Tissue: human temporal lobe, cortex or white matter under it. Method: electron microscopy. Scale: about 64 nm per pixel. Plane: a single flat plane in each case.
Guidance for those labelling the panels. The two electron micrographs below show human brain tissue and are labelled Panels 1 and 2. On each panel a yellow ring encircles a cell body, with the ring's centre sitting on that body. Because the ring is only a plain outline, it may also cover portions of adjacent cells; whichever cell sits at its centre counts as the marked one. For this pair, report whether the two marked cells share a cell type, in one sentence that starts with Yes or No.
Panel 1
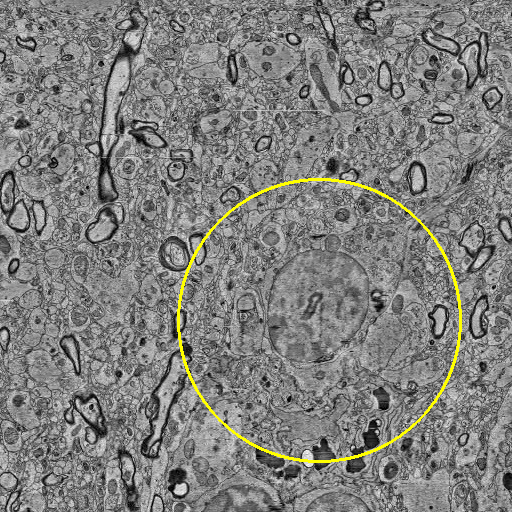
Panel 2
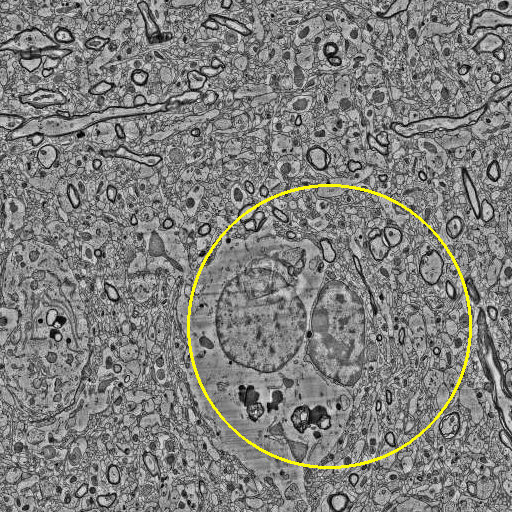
No, in Panel 1 and Panel 2 the marked cells at the ring centres are of two types.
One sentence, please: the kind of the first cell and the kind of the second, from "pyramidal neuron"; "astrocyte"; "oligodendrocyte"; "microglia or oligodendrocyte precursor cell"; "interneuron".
The ring in the first picture surrounds an oligodendrocyte, and the ring in the second surrounds a microglial cell or oligodendrocyte precursor cell.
